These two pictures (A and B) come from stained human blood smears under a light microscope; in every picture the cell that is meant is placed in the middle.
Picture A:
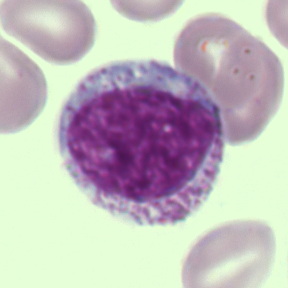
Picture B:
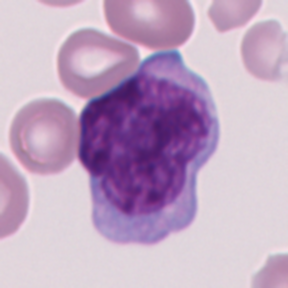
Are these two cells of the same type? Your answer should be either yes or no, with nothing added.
no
